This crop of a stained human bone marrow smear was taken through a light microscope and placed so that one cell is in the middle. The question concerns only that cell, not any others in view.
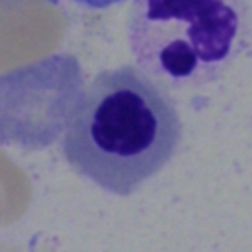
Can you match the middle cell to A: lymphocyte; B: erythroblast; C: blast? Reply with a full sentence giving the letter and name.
The cell in the middle is an erythroblast, and that makes option B correct.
